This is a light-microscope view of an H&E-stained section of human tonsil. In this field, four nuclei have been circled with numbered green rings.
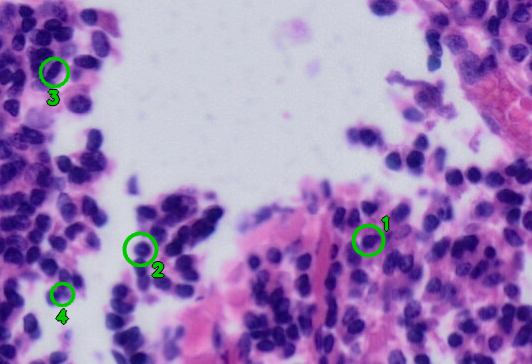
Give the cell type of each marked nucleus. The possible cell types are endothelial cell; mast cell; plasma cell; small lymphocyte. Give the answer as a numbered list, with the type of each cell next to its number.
1. plasma cell
2. small lymphocyte
3. small lymphocyte
4. small lymphocyte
